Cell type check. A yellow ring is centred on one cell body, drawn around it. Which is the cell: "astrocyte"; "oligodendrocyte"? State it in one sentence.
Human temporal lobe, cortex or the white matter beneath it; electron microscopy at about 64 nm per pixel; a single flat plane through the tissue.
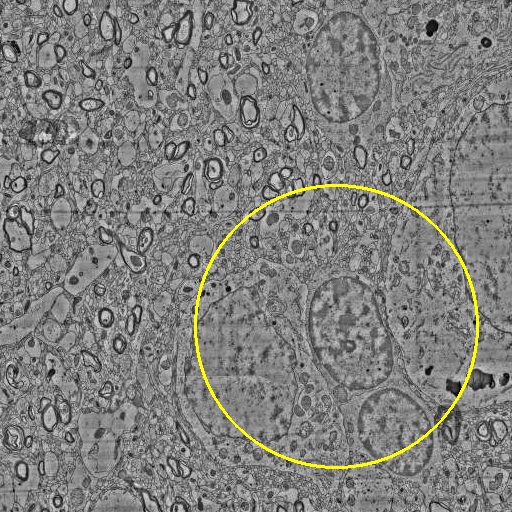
The cell body at the ring's centre belongs to an oligodendrocyte.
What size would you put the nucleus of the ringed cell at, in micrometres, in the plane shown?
The ringed cell's nucleus is roughly 7 by 5 micrometres and clearly longer than it is wide in this plane.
